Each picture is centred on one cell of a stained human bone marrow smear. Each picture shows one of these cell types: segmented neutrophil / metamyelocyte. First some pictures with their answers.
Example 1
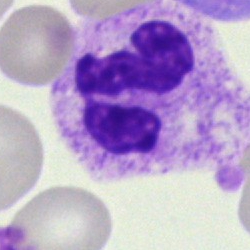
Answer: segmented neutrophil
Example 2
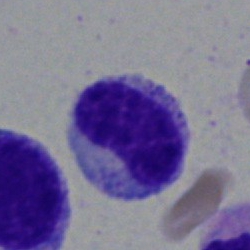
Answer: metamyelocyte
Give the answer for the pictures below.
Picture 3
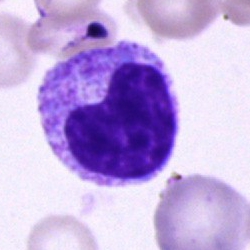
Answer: metamyelocyte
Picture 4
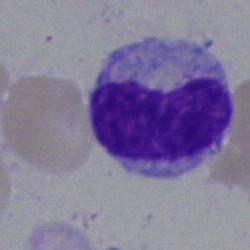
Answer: metamyelocyte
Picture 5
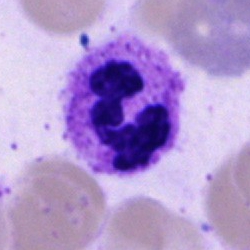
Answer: segmented neutrophil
